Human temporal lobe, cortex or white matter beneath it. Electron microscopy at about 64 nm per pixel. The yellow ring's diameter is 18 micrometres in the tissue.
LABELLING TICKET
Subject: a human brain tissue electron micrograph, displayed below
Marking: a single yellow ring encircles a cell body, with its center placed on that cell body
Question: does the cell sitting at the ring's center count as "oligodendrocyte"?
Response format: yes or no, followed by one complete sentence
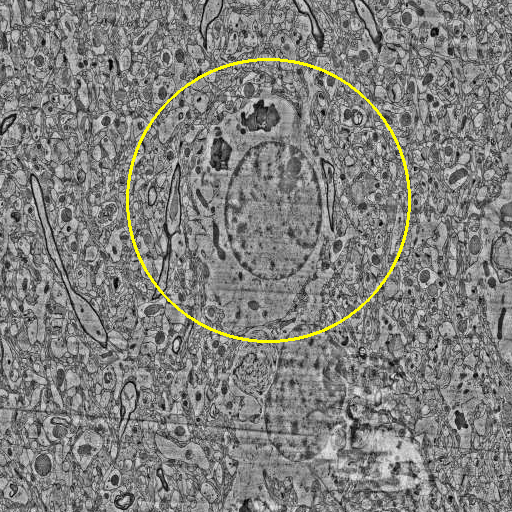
No, the cell at the center of the ring in the picture belongs to another kind.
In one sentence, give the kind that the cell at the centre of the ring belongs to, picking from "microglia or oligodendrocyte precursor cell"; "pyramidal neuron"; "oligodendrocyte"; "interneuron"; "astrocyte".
It is an astrocyte that the ring is centred on.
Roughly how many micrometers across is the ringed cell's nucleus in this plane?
In this plane, about 9 micrometres in length and 6 in width.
